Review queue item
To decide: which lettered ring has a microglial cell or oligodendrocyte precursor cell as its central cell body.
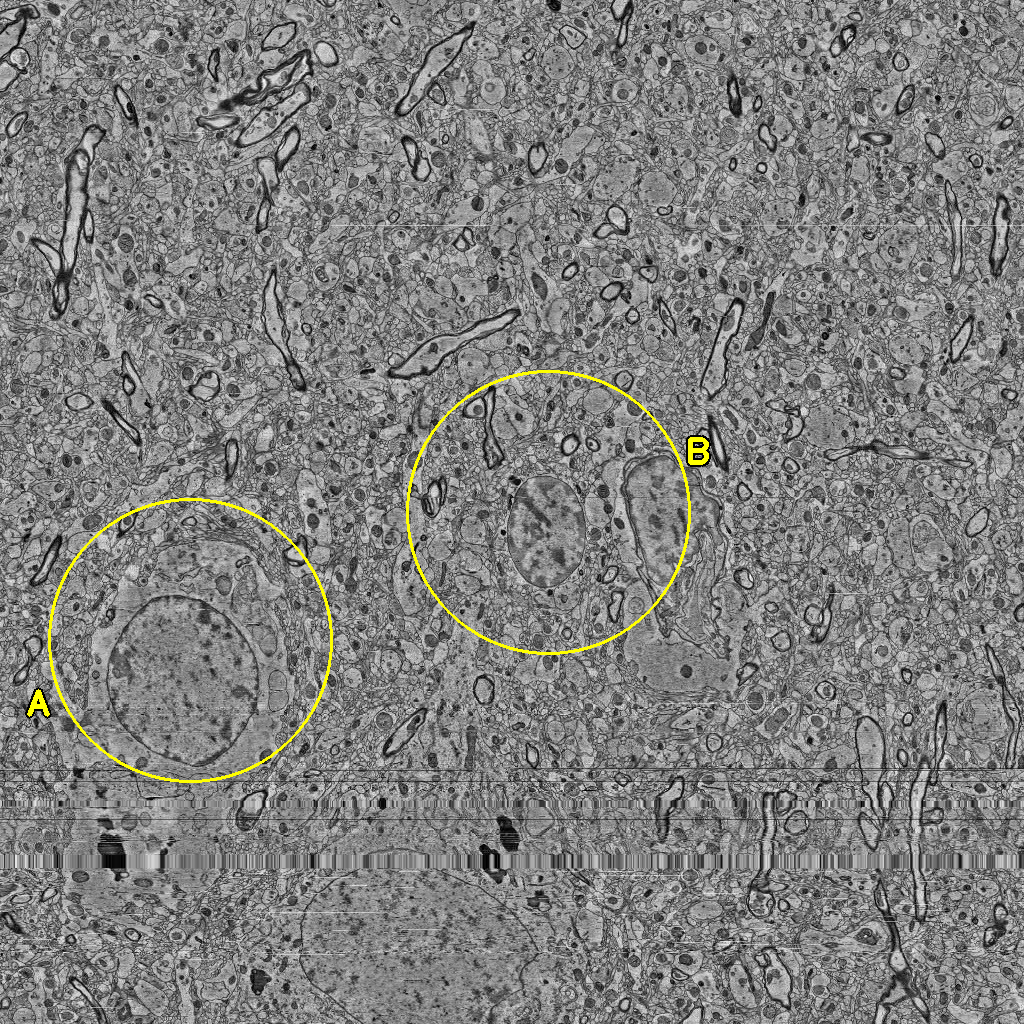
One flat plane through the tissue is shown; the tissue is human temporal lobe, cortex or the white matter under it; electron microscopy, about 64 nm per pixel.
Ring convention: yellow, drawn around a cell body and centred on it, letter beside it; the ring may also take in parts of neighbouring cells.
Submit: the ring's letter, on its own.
B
